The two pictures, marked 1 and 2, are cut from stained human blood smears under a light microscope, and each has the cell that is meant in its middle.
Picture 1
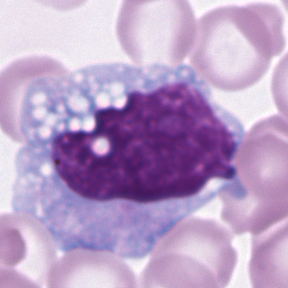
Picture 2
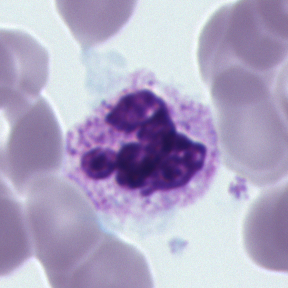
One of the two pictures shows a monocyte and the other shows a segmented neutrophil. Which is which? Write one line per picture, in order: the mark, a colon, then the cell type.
1: monocyte
2: segmented neutrophil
